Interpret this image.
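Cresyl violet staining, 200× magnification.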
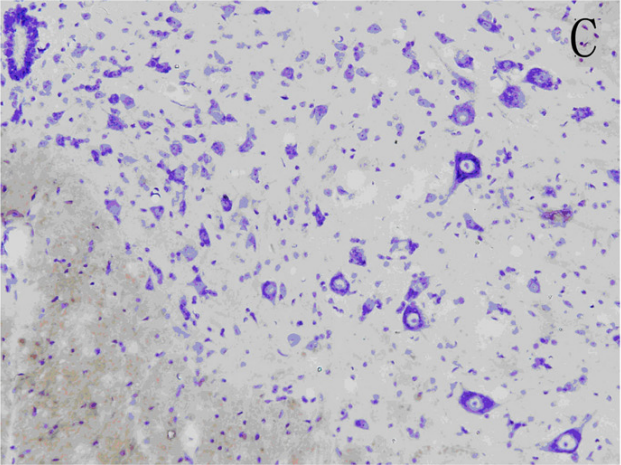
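Here spinal cord grey matter is stained violet, and several large motor neurons stand out among many small cells. The large neurons have angular cell bodies with granular violet cytoplasm, some with processes drawn out, and round pale nuclei each holding a dark nucleolus. Small cells with little cytoplasm are scattered widely through the pale neuropil between them. In the upper left a small ring of packed dark nuclei surrounds a narrow canal, and toward the lower left the tissue turns paler and faintly brownish, with fewer stained cells.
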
